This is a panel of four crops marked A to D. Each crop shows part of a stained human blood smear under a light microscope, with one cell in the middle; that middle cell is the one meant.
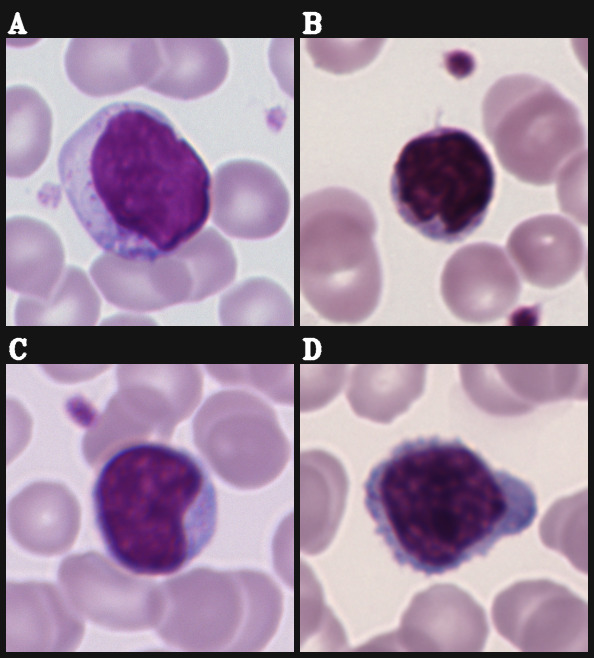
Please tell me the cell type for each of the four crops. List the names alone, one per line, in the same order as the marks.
large granular lymphocyte
large granular lymphocyte
typical lymphocyte
typical lymphocyte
